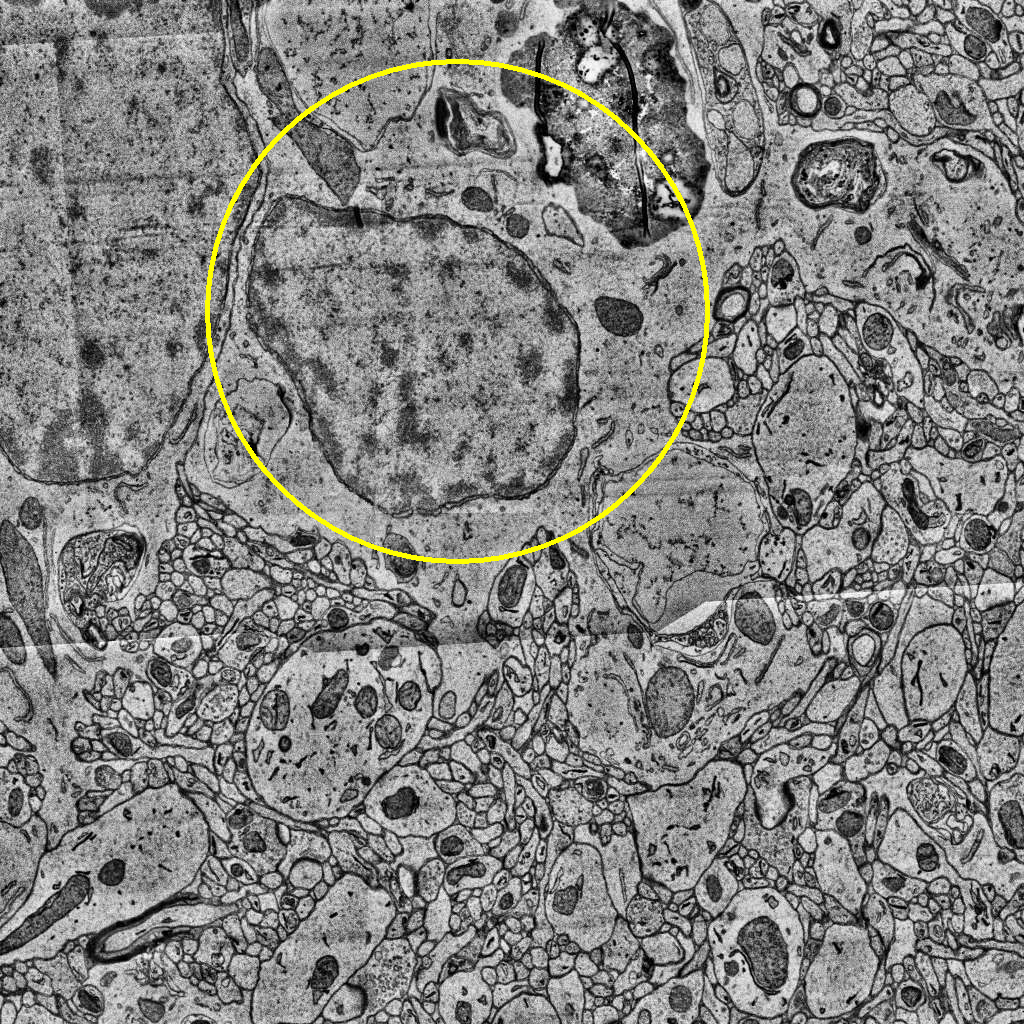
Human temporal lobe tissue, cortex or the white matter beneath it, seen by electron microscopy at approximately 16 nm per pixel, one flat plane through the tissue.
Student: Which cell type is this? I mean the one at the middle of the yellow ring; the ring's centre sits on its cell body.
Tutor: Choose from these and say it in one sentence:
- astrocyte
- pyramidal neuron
The cell at the ring's centre is an astrocyte.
